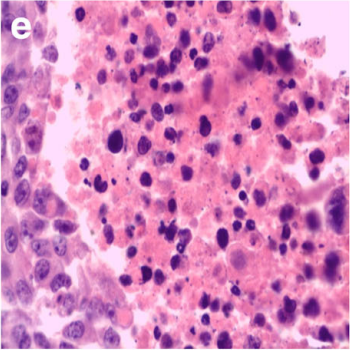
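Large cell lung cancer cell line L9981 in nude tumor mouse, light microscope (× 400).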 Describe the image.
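A border between viable tumour cells and necrotic tissue is seen, with intact cells having paler nuclei along the left edge. The rest is filled with pink cell remnants and many small, dark, shrunken nuclei, some broken into fragments and some faded.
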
